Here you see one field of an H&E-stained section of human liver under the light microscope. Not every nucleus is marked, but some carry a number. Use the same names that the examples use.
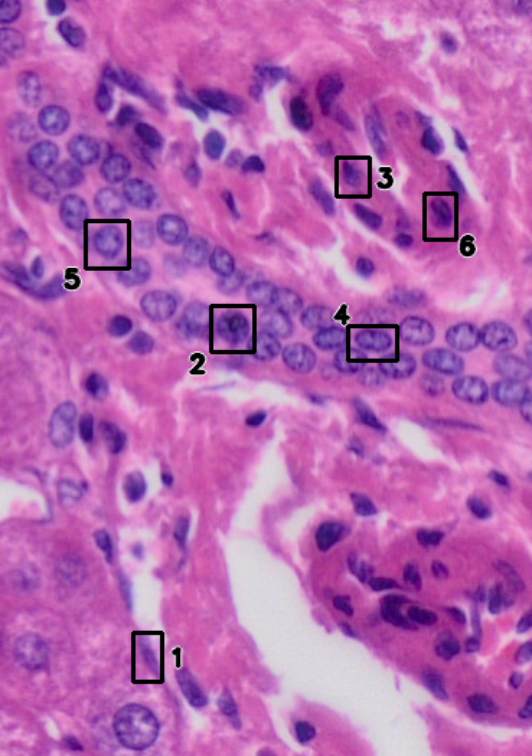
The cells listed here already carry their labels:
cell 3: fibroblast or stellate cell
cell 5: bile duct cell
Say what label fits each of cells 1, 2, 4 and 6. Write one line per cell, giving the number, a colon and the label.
1: fibroblast or stellate cell
2: bile duct cell
4: bile duct cell
6: fibroblast or stellate cell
